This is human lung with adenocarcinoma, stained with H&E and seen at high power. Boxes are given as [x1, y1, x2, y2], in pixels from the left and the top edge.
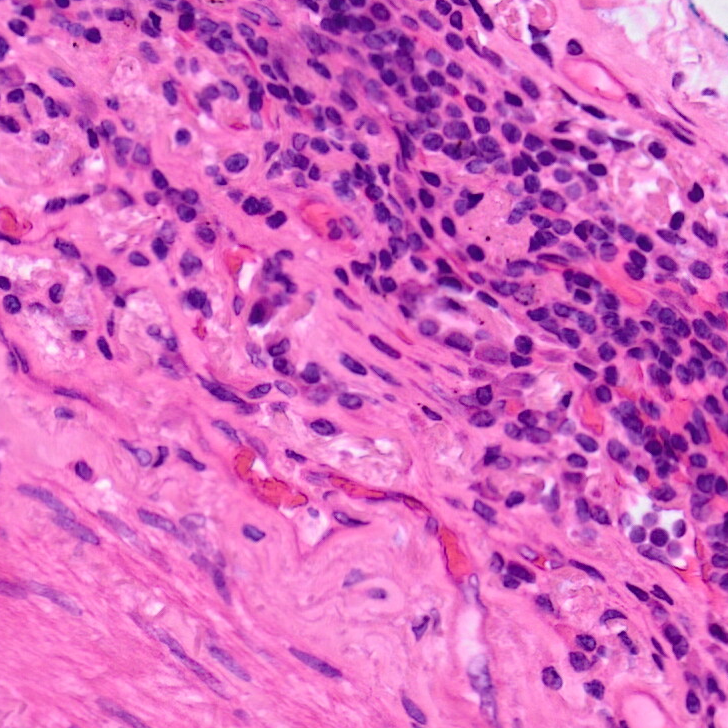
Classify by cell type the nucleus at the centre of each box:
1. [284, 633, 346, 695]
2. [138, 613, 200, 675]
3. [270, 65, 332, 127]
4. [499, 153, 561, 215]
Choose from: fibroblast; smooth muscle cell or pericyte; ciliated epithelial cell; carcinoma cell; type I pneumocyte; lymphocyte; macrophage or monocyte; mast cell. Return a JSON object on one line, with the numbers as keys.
{"1": "smooth muscle cell or pericyte", "2": "smooth muscle cell or pericyte", "3": "lymphocyte", "4": "lymphocyte"}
